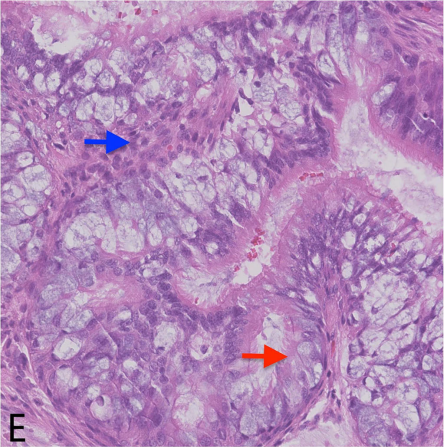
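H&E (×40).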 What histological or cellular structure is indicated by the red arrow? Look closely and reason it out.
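The red arrow points to cells with distended pale, bubbly mucin-like cytoplasm. These cells sit within the epithelium lining papillary fronds.
Glandular component.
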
